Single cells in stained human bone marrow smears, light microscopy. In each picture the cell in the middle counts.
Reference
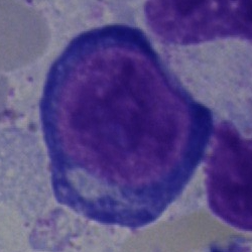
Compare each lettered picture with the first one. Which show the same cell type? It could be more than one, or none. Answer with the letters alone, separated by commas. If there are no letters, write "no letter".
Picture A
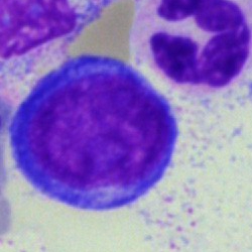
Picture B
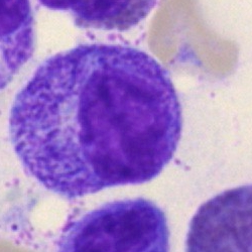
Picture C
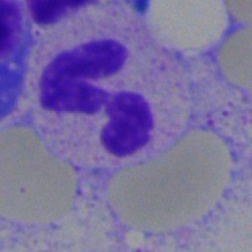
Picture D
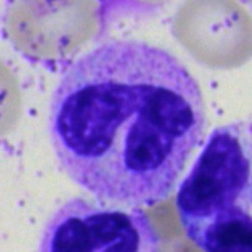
A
